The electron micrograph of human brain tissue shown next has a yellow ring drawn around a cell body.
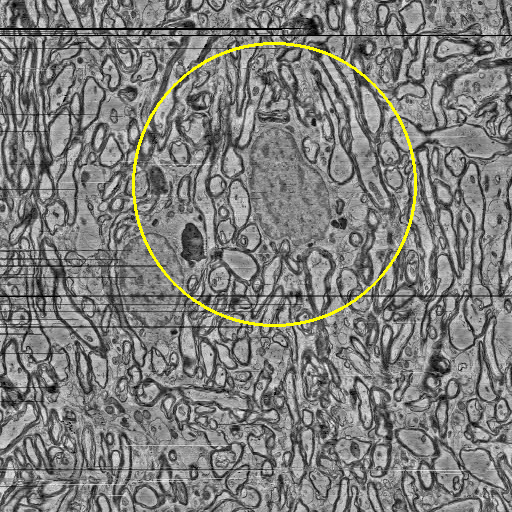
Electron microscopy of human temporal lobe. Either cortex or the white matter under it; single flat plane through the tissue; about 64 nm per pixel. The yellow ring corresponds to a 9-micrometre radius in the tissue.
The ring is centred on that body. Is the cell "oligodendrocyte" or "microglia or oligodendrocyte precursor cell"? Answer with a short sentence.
The cell in question is an oligodendrocyte.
